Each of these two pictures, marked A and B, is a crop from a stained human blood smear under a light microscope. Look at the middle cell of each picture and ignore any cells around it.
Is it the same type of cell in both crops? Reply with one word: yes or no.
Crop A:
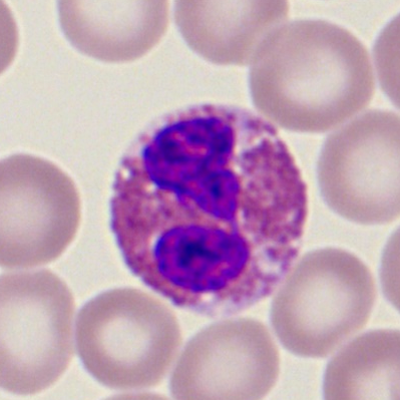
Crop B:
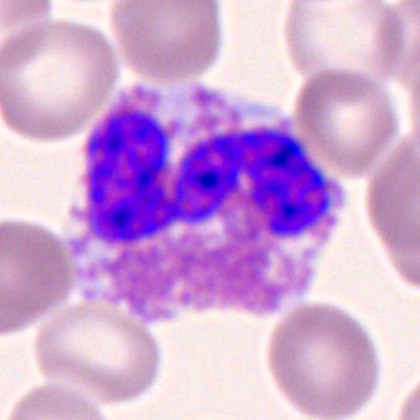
yes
